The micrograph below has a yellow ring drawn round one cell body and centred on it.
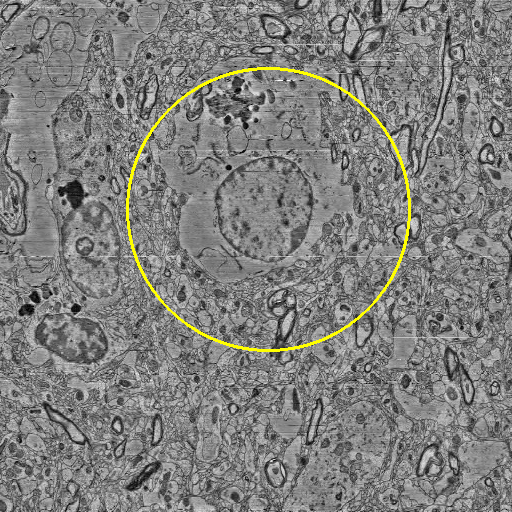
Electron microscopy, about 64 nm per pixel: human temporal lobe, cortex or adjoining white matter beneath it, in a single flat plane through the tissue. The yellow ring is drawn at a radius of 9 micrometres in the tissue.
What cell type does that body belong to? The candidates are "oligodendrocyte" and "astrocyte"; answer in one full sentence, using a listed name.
This is an astrocyte, the cell whose body lies at the centre of the ring.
